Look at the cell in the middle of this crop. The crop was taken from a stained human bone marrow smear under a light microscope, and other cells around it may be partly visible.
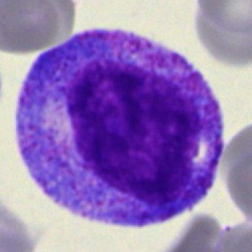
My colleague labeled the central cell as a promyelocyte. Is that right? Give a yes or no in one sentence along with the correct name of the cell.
Yes, as for the central cell, it is a promyelocyte.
